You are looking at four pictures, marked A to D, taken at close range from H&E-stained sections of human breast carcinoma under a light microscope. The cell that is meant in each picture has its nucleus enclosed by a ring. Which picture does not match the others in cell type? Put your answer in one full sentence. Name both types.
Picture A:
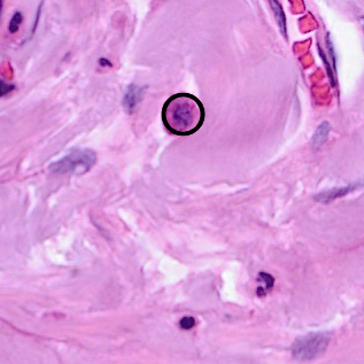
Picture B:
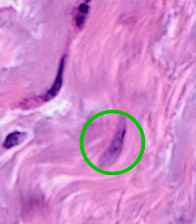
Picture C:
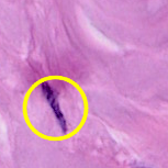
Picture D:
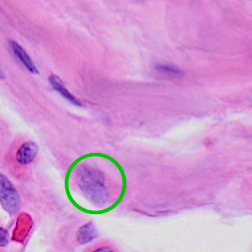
The others show fibroblasts, but picture A shows a mast cell.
